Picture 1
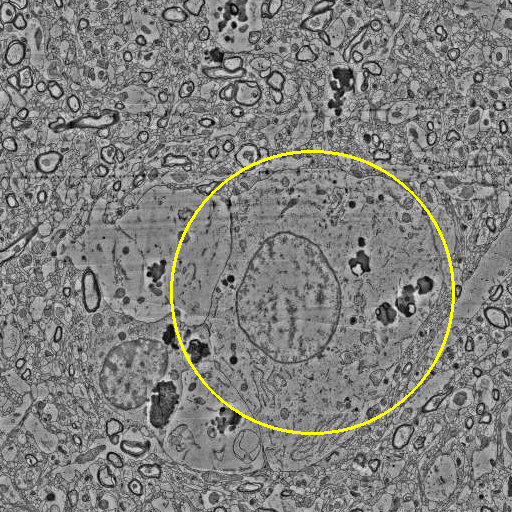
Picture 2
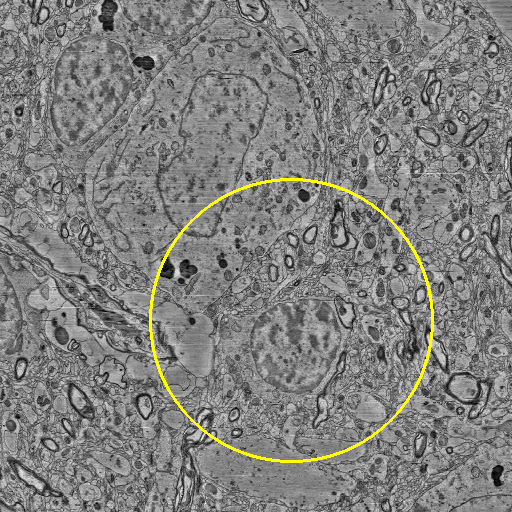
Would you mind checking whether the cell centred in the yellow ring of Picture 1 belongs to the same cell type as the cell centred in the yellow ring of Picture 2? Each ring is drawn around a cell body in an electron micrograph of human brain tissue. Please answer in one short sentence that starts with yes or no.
No, the two cells are of two types.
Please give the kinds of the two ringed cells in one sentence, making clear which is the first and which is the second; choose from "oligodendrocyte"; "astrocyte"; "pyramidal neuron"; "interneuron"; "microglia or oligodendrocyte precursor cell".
In the second picture the ringed cell is an oligodendrocyte; in the first it is a pyramidal neuron.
